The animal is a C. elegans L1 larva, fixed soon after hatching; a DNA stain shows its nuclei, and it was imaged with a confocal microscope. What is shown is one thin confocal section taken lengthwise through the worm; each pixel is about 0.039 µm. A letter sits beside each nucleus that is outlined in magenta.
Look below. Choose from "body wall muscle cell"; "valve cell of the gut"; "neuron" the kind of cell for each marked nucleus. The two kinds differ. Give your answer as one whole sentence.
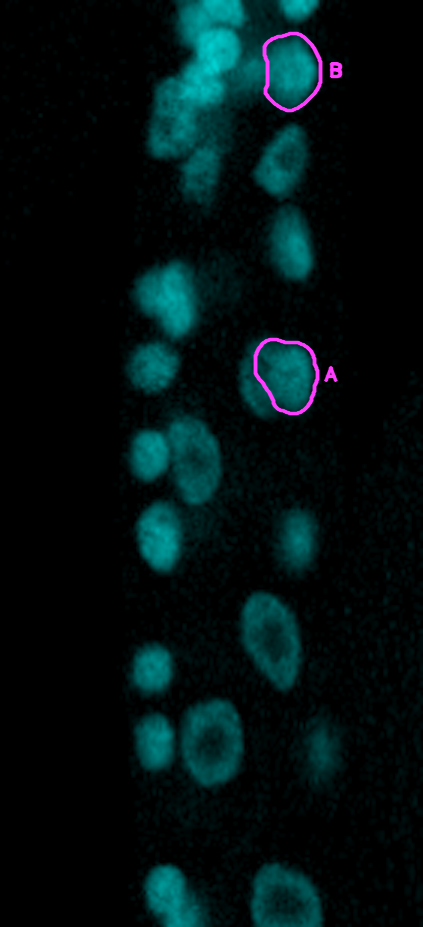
One is from a body wall muscle cell, namely A, and the other, B, is from a valve cell of the gut.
